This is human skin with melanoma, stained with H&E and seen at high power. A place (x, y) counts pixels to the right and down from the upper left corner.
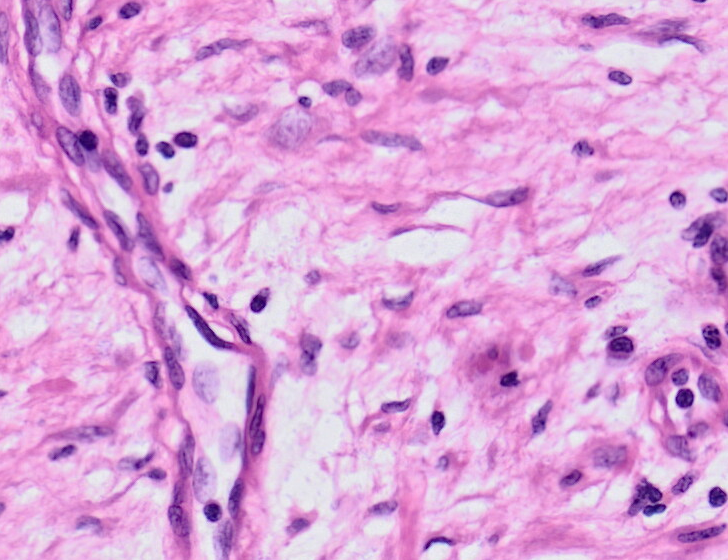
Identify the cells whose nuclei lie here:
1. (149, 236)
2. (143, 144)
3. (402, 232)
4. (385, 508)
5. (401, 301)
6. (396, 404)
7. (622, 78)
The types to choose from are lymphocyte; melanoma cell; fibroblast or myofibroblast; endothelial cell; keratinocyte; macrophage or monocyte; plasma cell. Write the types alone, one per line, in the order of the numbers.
endothelial cell
lymphocyte
fibroblast or myofibroblast
fibroblast or myofibroblast
fibroblast or myofibroblast
fibroblast or myofibroblast
lymphocyte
